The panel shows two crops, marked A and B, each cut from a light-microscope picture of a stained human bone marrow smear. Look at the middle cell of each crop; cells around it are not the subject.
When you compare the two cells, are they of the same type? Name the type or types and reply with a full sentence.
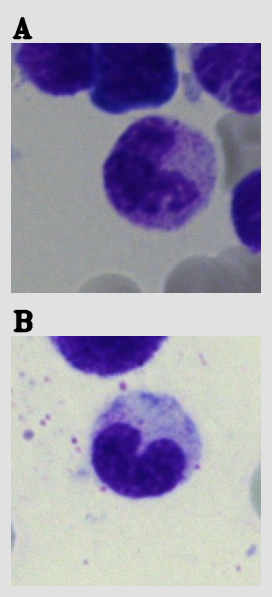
Yes, band neutrophils are what the two crops show.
